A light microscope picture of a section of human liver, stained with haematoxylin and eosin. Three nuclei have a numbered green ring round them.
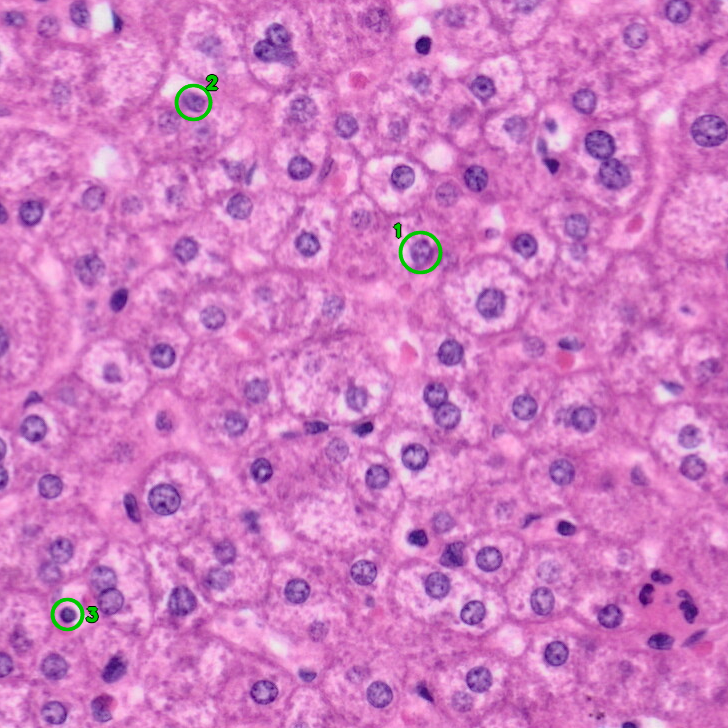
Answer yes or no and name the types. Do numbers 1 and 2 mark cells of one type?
No, cell 1 is a hepatocyte and cell 2 is a Kupffer cell.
